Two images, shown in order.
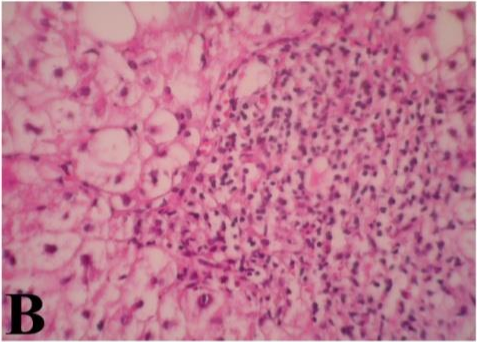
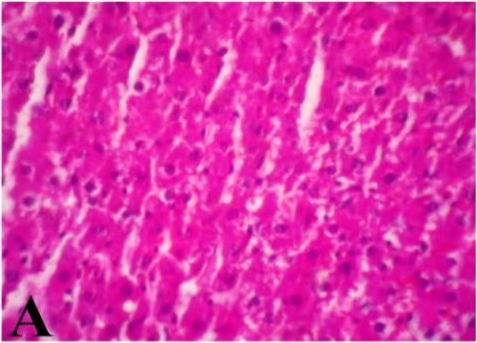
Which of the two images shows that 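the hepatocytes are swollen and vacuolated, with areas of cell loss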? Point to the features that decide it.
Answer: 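Second image: hepatocytes have dense pink cytoplasm and are arranged in orderly cords. First image: hepatocytes are ballooned with clear cytoplasm, and a region is replaced by a dense cluster of small dark nuclei. That points to this answer: the first image.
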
